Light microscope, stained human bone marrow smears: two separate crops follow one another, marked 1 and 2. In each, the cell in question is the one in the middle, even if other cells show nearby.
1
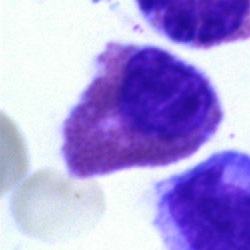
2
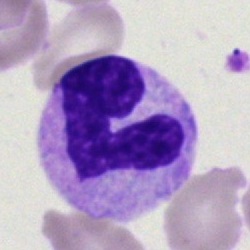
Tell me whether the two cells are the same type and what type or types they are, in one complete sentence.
No, crop 1 captures an eosinophil; meanwhile crop 2 captures a band neutrophil.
